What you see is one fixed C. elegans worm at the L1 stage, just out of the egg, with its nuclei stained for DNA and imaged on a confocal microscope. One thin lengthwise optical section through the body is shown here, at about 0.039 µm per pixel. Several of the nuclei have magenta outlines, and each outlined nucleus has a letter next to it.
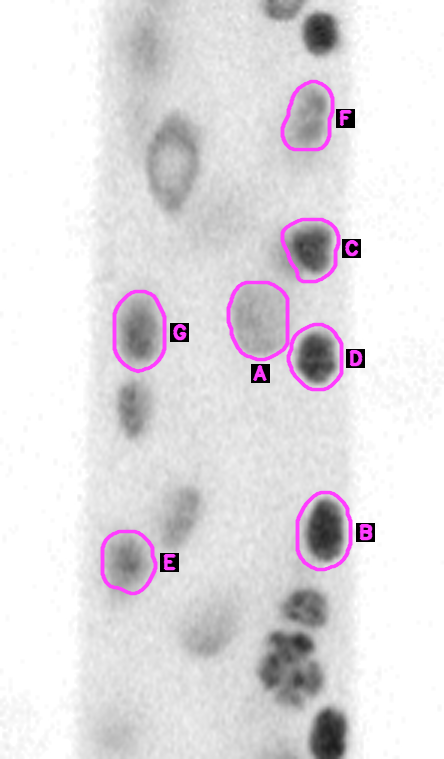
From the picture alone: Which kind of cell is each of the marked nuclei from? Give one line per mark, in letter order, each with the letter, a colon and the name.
A: intestinal cell
B: neuron
C: neuron
D: neuron
E: body wall muscle cell
F: body wall muscle cell
G: body wall muscle cell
